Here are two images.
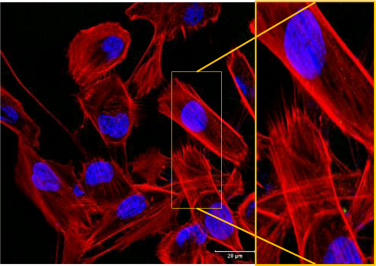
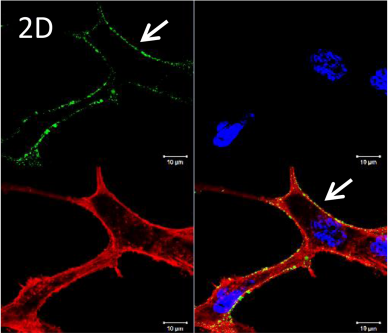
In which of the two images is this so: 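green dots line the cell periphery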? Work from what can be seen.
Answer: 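First image: cells show red filaments and blue nuclei with essentially no green dots at their edges. Second image: many green dots line the edges of the cells.
The second image.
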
